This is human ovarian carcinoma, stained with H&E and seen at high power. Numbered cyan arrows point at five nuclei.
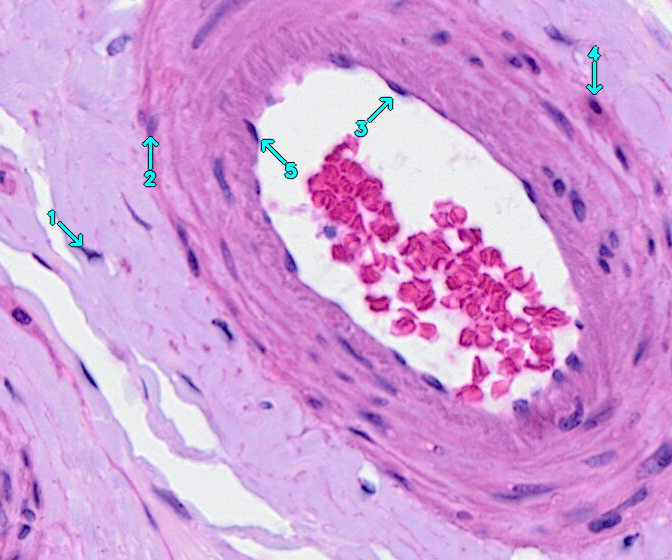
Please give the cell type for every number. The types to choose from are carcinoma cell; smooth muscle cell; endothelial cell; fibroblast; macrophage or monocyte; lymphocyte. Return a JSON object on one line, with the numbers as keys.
{"1": "fibroblast", "2": "smooth muscle cell", "3": "endothelial cell", "4": "smooth muscle cell", "5": "endothelial cell"}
